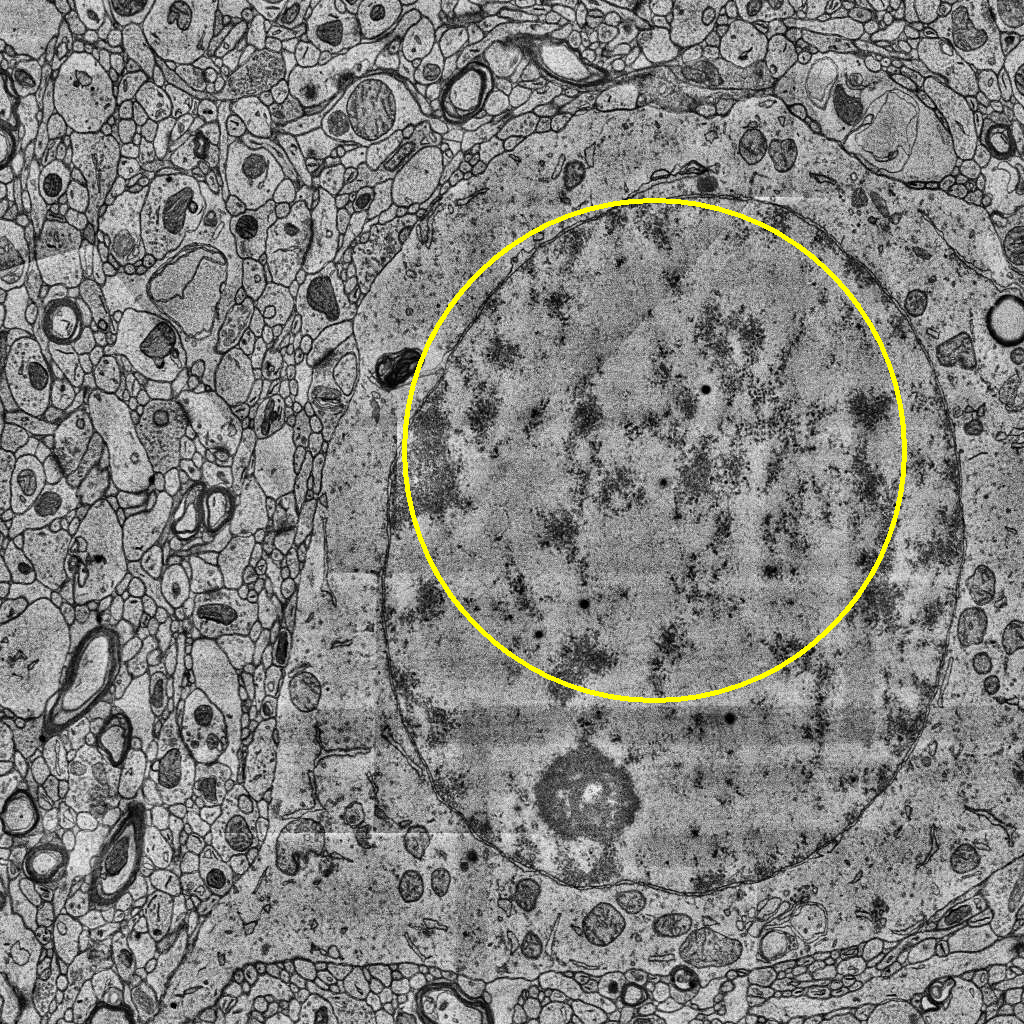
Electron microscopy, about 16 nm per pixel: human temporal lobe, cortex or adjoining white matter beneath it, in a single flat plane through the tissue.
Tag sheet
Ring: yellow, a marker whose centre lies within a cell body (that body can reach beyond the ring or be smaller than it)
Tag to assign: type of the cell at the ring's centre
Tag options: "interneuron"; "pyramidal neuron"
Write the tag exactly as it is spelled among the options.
pyramidal neuron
